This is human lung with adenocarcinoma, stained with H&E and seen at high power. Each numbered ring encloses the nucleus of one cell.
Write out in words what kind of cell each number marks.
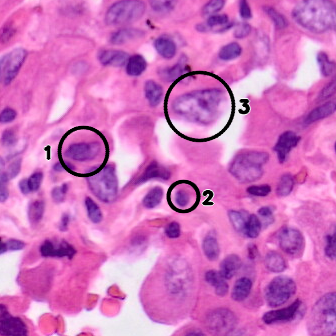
Cell 1 is a carcinoma cell, cell 2 is a lymphocyte and cell 3 is a carcinoma cell.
